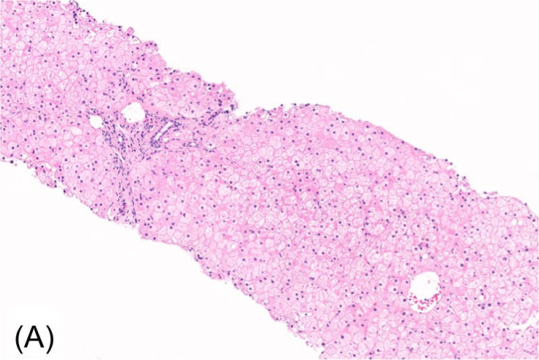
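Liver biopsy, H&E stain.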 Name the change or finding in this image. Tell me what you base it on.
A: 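Hepatocytes throughout the lobule are enlarged with pale, clear cytoplasm. Cell membranes stand out sharply, giving a plant-cell-like pattern. Nuclei are small and central within the swollen cells. That points to this answer: diffuse glycogen accumulation within hepatocytes.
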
